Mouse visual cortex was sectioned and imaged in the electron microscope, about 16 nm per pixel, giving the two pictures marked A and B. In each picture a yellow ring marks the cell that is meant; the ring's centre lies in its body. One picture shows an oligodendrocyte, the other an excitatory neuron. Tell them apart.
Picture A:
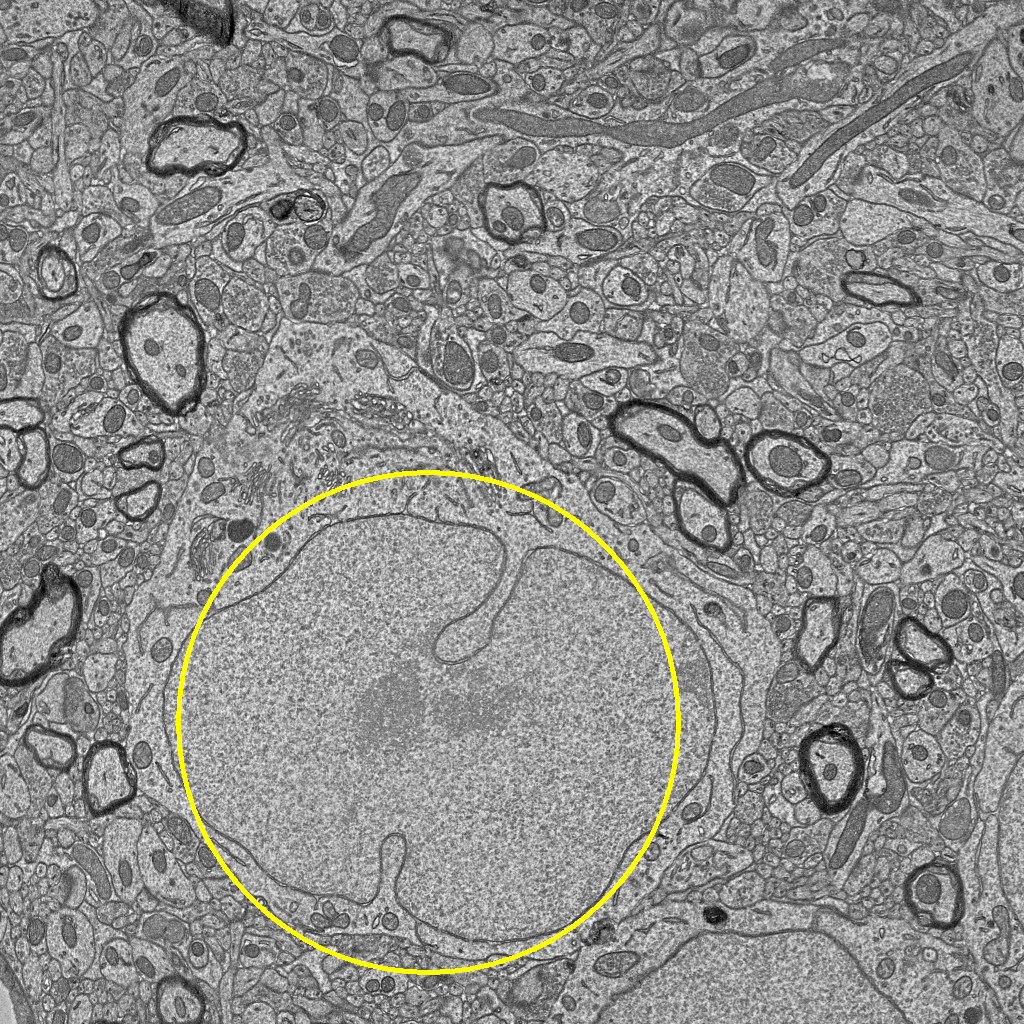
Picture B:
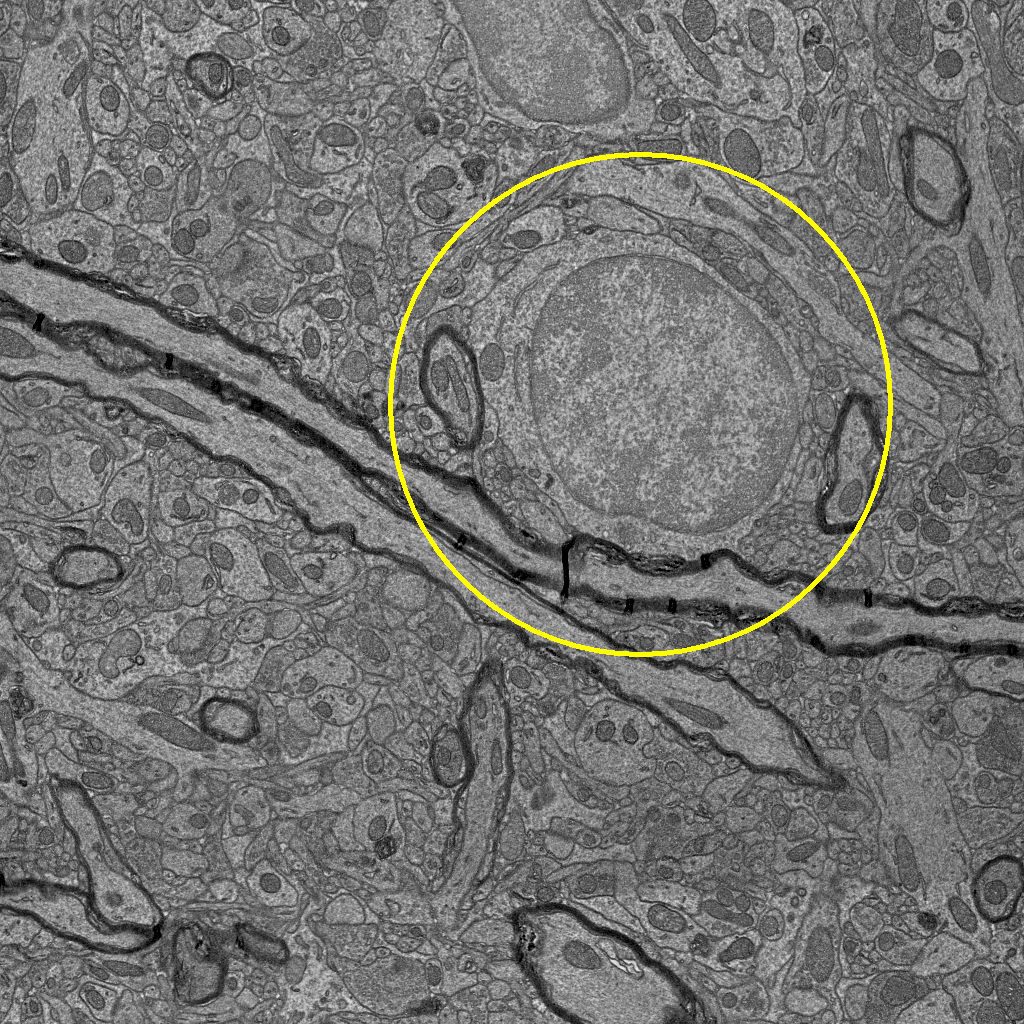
In picture A the cell is an excitatory neuron; in picture B, an oligodendrocyte.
